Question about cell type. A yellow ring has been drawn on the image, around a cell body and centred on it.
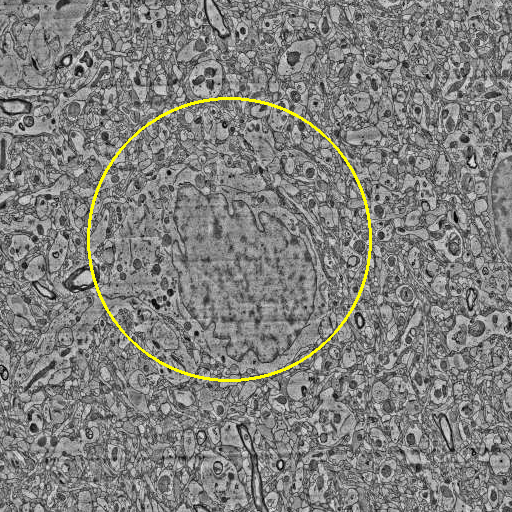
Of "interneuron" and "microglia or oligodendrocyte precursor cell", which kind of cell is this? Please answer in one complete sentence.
At the centre of the ring lies an interneuron.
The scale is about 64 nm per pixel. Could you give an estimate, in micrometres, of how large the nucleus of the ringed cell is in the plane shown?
The nucleus is approximately 11 micrometers long by 9 micrometers wide in this plane.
